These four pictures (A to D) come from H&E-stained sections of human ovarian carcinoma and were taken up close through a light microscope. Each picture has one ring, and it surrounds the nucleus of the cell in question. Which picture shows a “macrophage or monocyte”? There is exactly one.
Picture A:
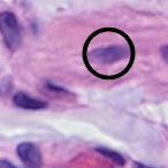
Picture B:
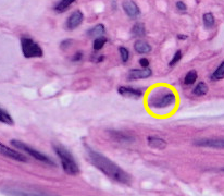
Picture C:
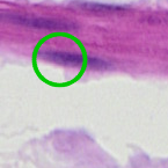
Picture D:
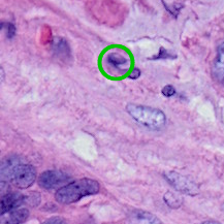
D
